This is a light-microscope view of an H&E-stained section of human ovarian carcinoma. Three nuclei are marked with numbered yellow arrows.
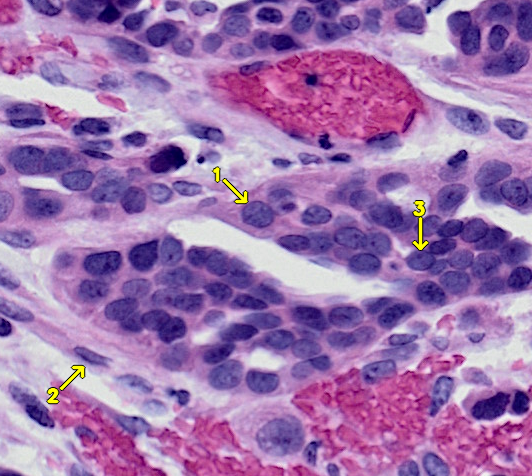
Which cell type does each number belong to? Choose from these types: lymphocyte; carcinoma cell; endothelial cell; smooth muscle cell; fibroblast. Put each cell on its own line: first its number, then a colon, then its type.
1: carcinoma cell
2: fibroblast
3: carcinoma cell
